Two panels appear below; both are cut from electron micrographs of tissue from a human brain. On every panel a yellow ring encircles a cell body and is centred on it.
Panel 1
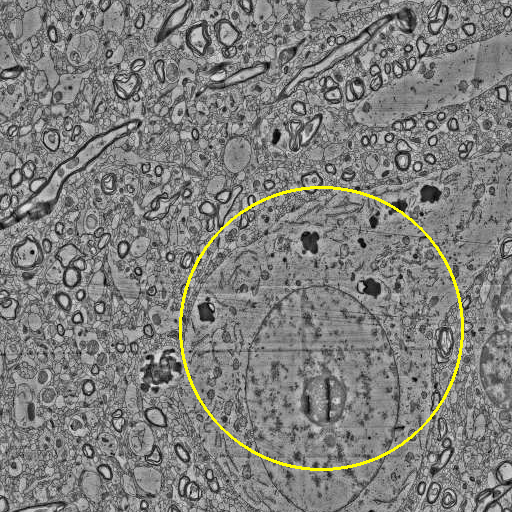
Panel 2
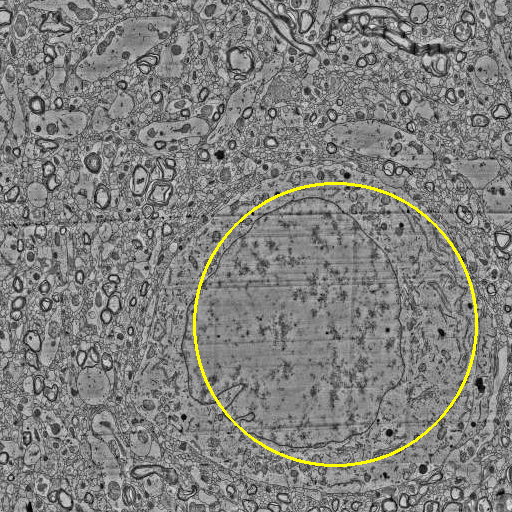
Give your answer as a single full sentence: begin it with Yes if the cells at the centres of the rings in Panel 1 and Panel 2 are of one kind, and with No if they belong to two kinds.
Yes, the cells in the middle of the rings in Panels 1 and 2 are of one kind.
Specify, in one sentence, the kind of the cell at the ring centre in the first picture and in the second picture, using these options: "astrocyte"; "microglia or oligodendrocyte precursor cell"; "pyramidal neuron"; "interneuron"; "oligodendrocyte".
The first and the second cell are each a pyramidal neuron.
